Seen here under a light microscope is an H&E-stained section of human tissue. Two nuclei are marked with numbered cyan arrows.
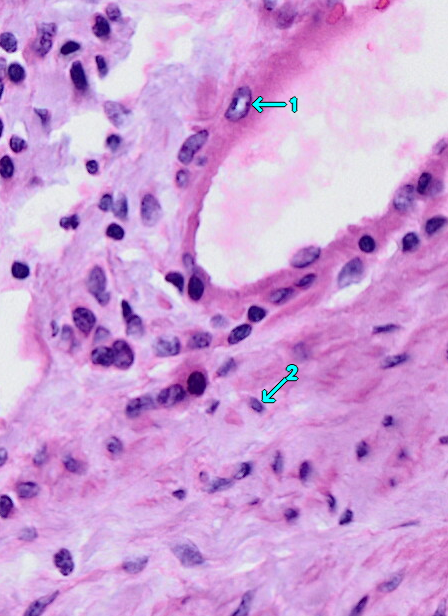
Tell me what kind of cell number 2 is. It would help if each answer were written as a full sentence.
In the marked set, the cell given number 2 is a smooth muscle cell.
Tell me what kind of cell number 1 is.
Heads up, the cell numbered 1 is an endothelial cell.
